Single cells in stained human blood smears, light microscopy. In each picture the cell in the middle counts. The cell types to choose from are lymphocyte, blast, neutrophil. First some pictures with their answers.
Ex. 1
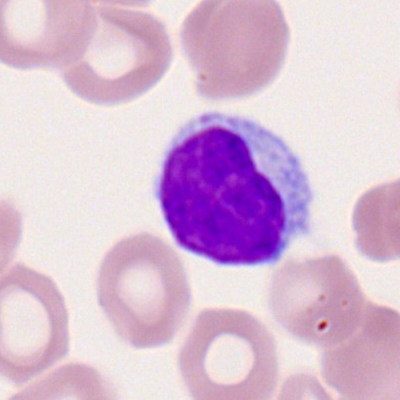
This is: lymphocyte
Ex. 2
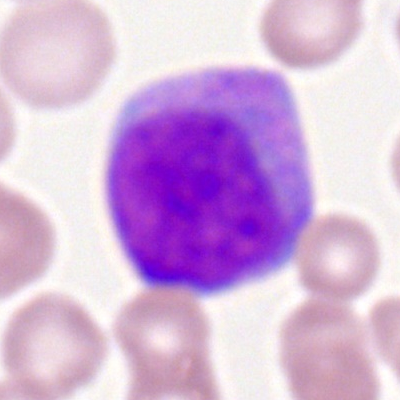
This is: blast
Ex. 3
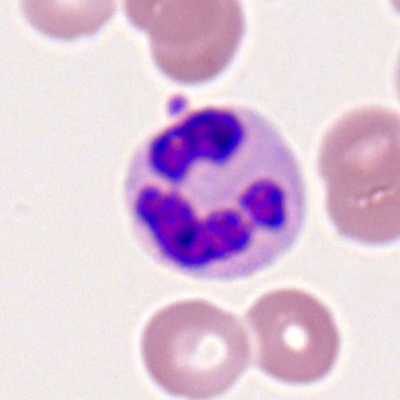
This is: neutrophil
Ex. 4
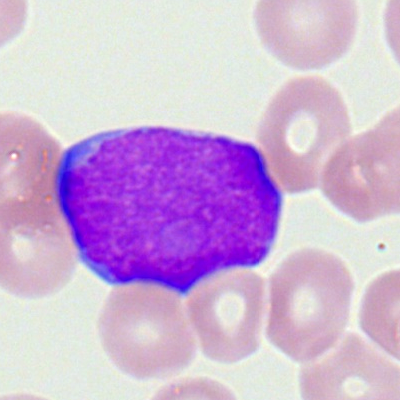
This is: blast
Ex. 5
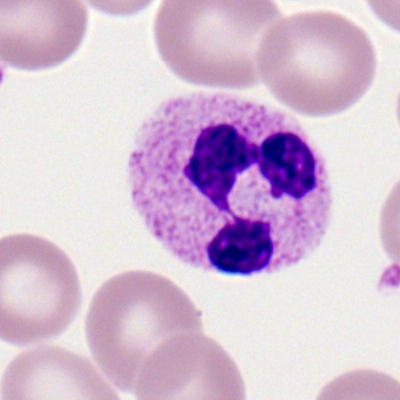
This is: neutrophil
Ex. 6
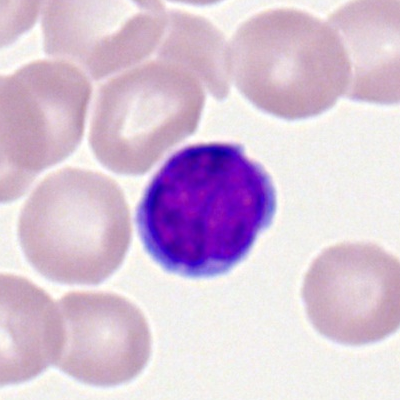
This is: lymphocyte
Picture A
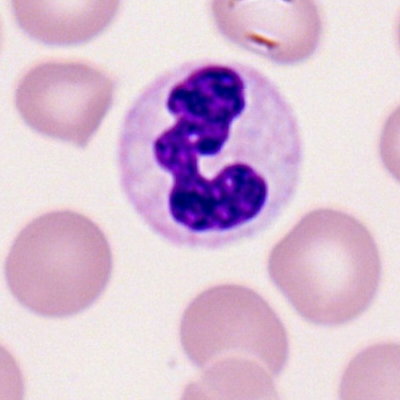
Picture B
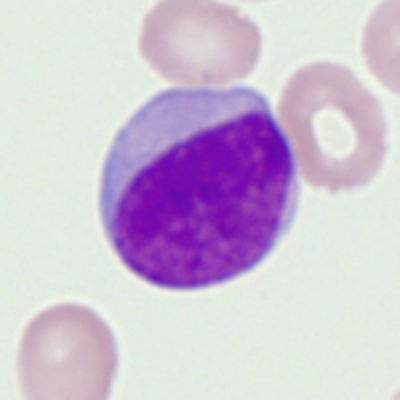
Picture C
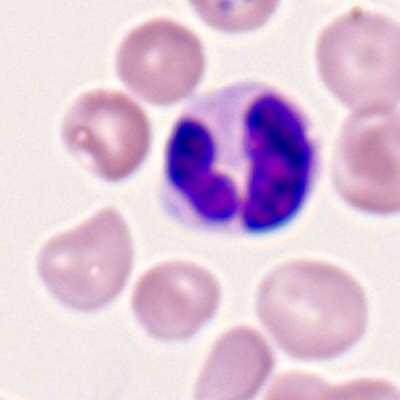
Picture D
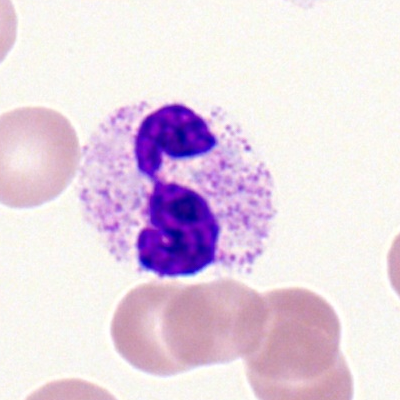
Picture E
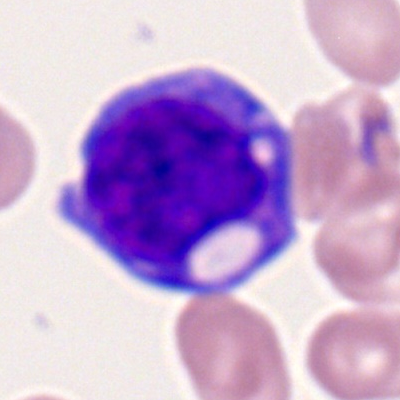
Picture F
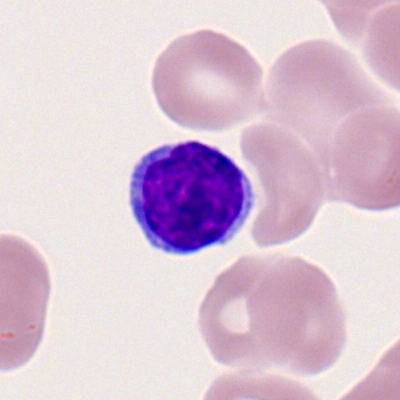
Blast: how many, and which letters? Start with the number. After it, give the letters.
Count: 2 (B, E)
